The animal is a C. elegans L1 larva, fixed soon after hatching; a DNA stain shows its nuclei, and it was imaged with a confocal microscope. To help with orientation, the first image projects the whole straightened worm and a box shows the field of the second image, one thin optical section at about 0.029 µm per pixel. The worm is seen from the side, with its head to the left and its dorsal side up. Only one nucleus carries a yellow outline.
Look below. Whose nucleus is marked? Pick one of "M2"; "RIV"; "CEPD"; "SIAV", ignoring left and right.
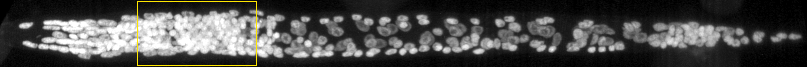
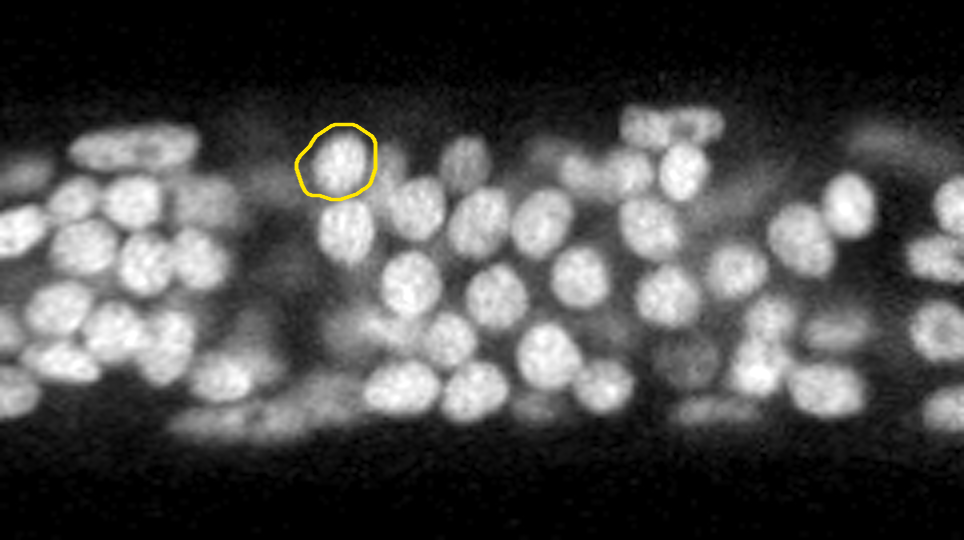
CEPD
